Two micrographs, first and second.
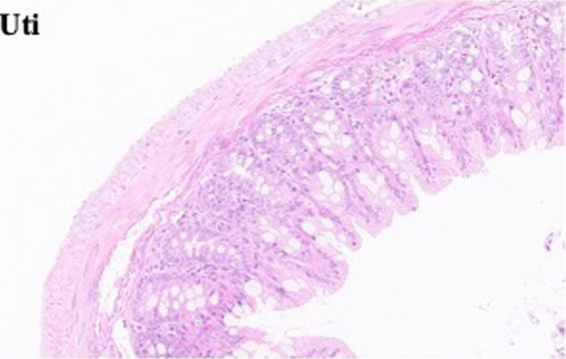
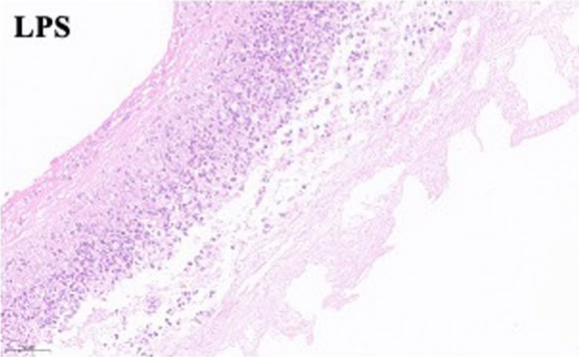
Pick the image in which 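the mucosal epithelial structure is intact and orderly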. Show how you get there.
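The first image. Second image: the mucosa is replaced by a dense sheet of small dark nuclei beside loose, torn pale tissue, with no regular glands. First image: regular rows of glands lined by continuous epithelium sit under a thin intact wall.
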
